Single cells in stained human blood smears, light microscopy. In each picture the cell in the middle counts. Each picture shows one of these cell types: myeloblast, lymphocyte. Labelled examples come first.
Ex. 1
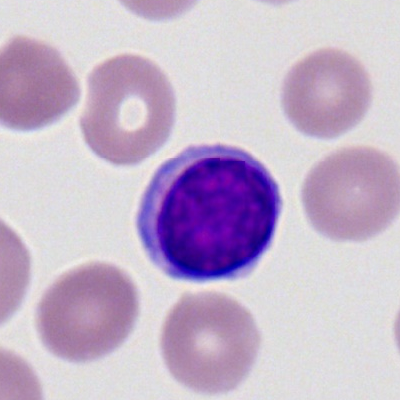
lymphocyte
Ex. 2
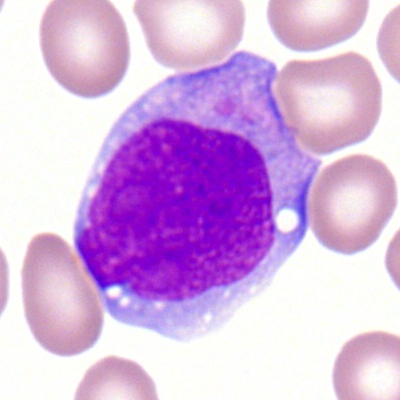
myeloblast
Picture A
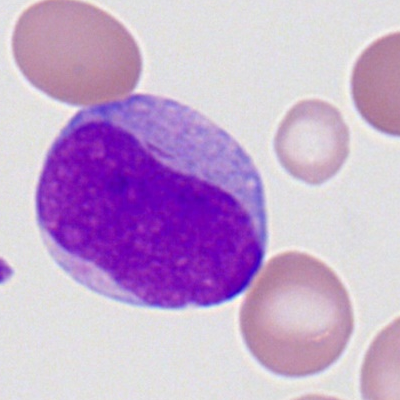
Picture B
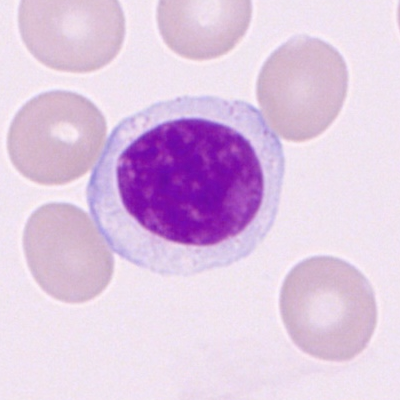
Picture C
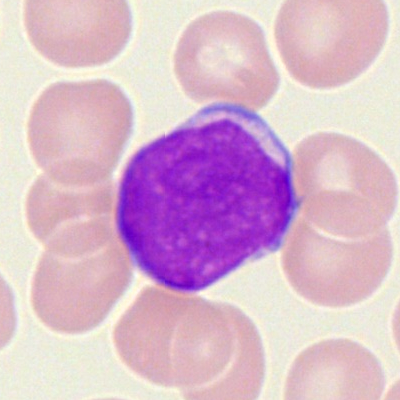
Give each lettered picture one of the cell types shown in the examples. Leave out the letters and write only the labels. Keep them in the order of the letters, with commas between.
myeloblast, lymphocyte, myeloblast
